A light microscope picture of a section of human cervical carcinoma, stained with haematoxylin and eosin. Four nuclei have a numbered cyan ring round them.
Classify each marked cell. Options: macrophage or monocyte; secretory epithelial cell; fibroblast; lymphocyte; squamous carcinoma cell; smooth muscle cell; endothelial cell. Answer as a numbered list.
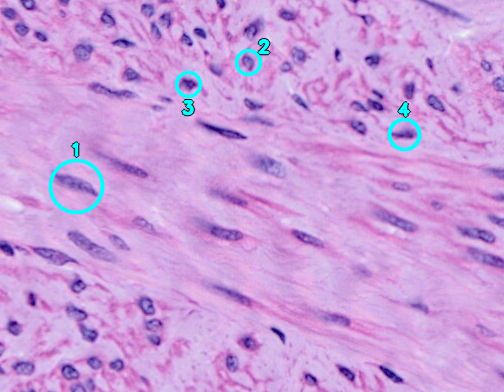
1. fibroblast
2. smooth muscle cell
3. smooth muscle cell
4. smooth muscle cell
